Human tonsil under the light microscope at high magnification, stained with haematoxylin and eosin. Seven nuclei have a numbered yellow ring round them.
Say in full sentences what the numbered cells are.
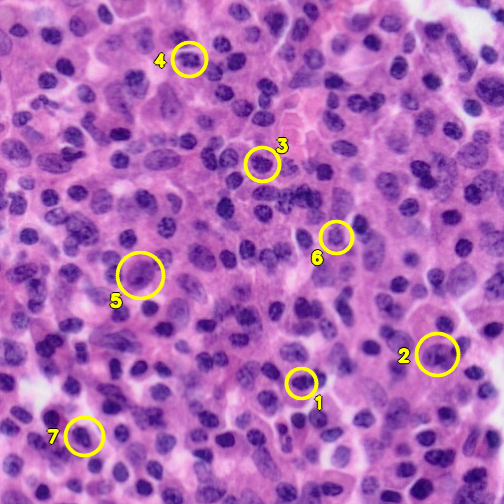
Cell 1 is a plasma cell, cell 2 is a squamous epithelial cell, cell 3 is a plasma cell, cell 4 is a plasma cell, cell 5 is a squamous epithelial cell, cell 6 is a squamous epithelial cell and cell 7 is a plasma cell.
